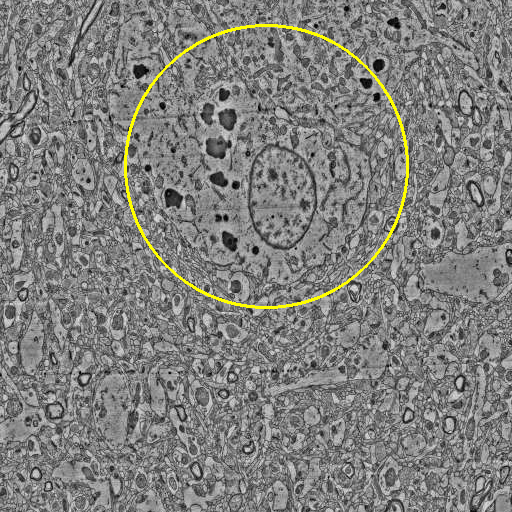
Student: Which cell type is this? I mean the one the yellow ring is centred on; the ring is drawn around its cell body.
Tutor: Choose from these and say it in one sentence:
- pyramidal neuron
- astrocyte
The cell the ring is centred on is a pyramidal neuron.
